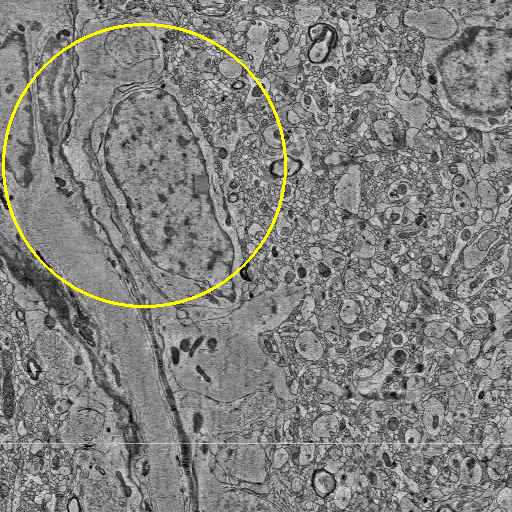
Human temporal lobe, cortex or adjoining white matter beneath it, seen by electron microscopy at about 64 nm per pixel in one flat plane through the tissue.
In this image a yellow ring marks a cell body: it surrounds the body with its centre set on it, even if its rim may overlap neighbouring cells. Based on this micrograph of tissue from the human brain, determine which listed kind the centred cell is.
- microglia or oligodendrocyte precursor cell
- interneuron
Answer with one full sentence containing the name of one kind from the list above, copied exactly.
It is a microglial cell or oligodendrocyte precursor cell whose body the yellow ring encloses at its centre.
